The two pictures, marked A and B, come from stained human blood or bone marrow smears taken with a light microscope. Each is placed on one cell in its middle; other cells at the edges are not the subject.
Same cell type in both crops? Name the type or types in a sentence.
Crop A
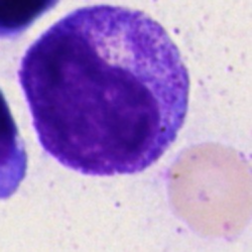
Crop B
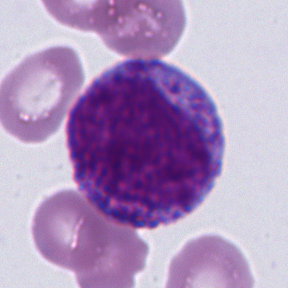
Yes, the cells of interest in both crops are promyelocytes.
